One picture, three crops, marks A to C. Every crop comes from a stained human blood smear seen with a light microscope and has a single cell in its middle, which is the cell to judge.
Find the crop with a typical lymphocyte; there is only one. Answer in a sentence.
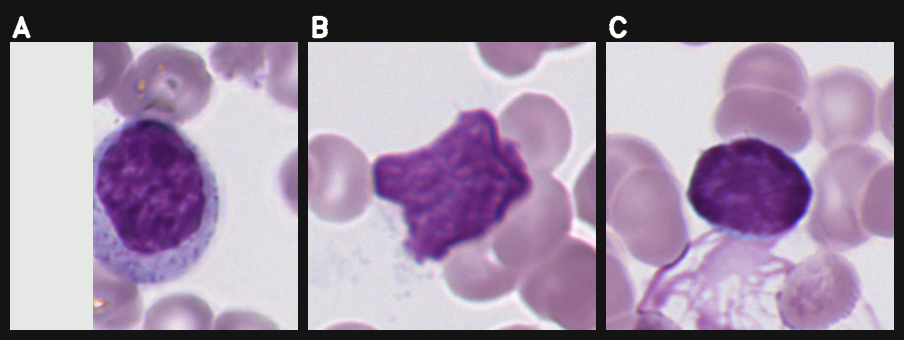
The crop that has a typical lymphocyte in the middle is crop C.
